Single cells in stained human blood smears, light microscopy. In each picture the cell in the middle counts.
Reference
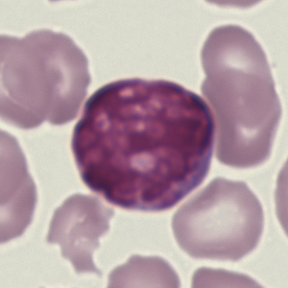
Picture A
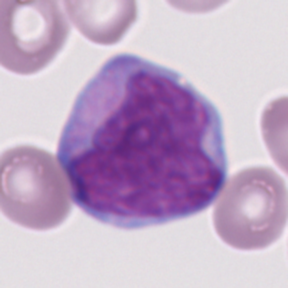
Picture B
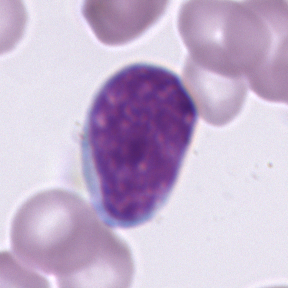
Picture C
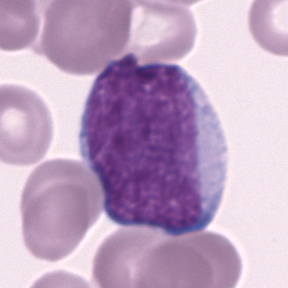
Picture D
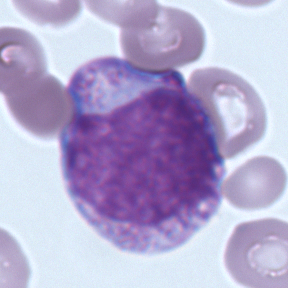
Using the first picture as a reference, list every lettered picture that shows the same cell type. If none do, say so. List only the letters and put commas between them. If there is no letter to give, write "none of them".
B, C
